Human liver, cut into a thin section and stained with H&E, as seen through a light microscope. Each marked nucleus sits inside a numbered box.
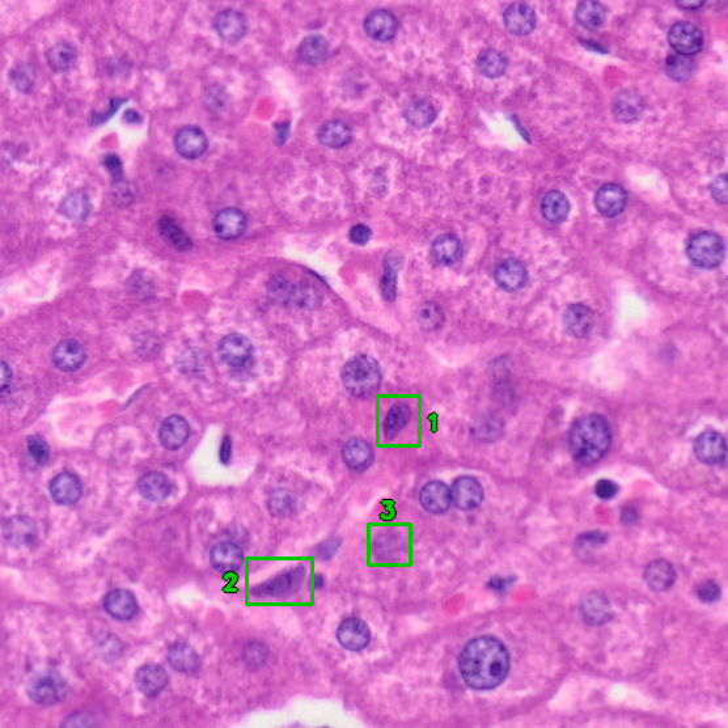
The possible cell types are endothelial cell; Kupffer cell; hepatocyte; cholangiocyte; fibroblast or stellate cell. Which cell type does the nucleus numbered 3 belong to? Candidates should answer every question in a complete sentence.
Here, the cell given the number 3 is a hepatocyte.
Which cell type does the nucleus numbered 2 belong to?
In this section, the cell numbered 2 is a Kupffer cell.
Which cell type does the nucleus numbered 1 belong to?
The marked cell bearing number 1 is a fibroblast or stellate cell.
